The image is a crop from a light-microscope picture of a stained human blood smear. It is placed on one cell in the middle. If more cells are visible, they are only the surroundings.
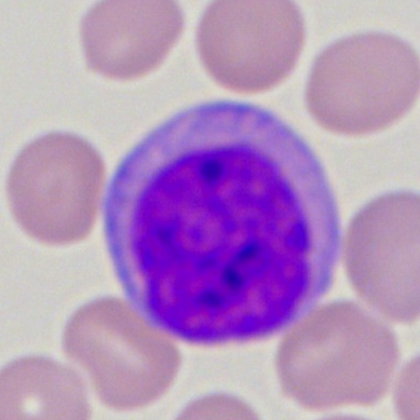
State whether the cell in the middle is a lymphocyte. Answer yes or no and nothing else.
no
